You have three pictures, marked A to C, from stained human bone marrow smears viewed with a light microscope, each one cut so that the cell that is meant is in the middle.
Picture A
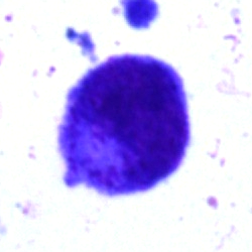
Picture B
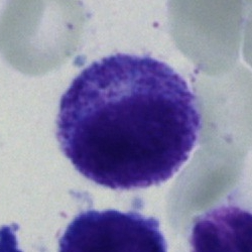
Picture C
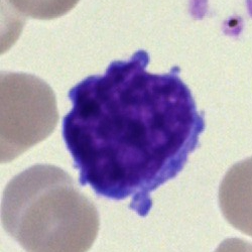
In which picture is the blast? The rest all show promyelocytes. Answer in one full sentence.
It is picture C that shows the blast.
